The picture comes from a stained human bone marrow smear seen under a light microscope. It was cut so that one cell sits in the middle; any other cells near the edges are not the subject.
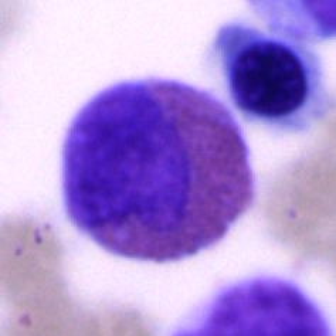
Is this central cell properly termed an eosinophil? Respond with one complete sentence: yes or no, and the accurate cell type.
Yes, the cell at the midpoint of the crop is an eosinophil.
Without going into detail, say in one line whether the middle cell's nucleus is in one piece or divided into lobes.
Just one compact nuclear mass here, round, oval or kidney-shaped.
